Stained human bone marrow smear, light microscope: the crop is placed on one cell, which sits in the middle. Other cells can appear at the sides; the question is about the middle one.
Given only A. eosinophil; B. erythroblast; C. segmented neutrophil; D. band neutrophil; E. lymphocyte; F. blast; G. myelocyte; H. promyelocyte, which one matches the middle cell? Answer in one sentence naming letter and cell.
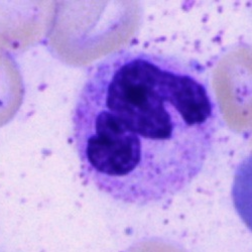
The middle of the crop contains a segmented neutrophil, so option C is right.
